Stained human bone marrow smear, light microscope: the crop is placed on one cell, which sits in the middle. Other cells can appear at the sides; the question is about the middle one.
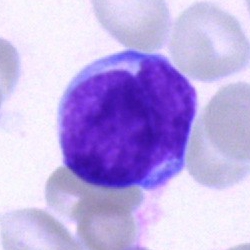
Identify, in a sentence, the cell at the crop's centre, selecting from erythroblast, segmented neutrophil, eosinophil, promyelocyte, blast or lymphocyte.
The cell centred in this crop is categorized as a blast.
